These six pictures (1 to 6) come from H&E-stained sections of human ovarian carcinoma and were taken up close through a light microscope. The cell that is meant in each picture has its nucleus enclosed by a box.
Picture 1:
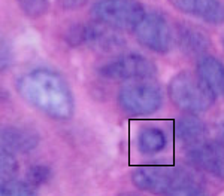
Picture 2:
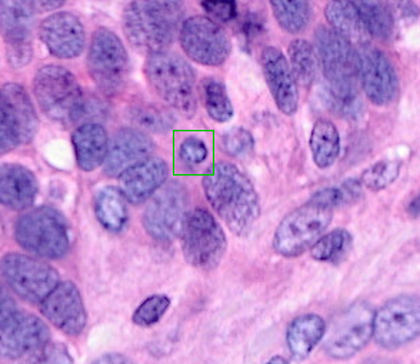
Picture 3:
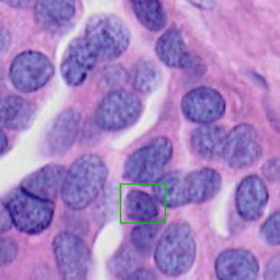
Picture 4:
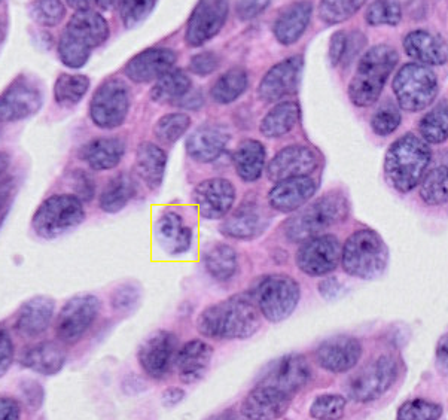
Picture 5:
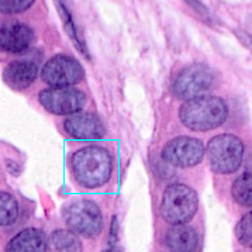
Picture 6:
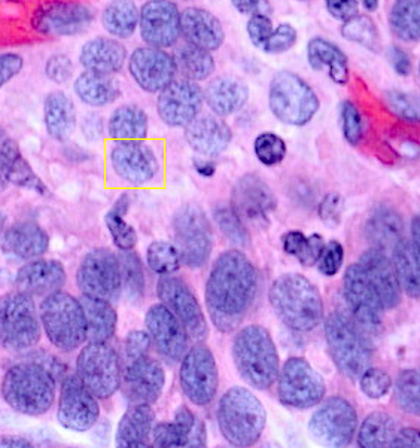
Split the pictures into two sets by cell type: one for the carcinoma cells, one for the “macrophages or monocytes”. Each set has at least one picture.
1: macrophage or monocyte
2: macrophage or monocyte
3: carcinoma cell
4: macrophage or monocyte
5: carcinoma cell
6: carcinoma cell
